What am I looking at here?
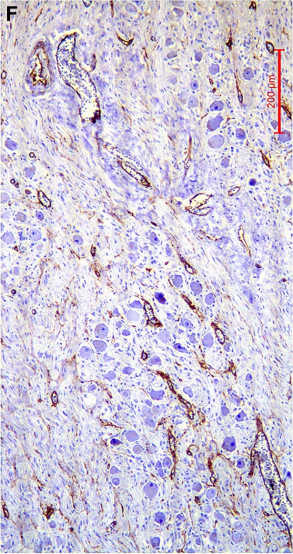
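This is ganglionic tissue with many large round to oval cell bodies stained pale purple, scattered in a fibrous, lightly stained background with small elongated nuclei. Between these cell bodies runs a dense network of brown-outlined vessels, seen as thin branching strands, small rings and a few larger channels with open lumens. The vessels wind among the groups of cell bodies, so that nearly every cluster lies close to a brown-lined capillary.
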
